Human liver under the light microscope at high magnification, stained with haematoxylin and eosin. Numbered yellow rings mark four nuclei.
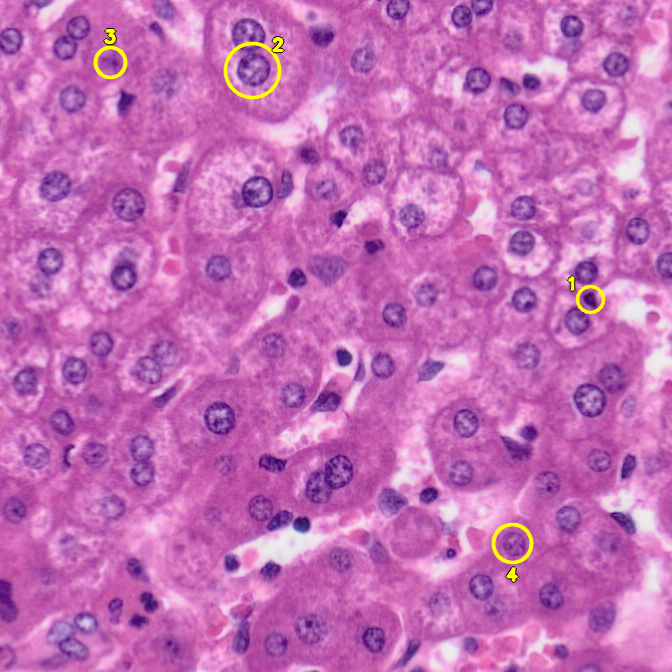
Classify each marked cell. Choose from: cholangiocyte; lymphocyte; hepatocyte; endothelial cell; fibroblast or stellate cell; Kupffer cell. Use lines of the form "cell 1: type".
cell 1: fibroblast or stellate cell
cell 2: hepatocyte
cell 3: hepatocyte
cell 4: hepatocyte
